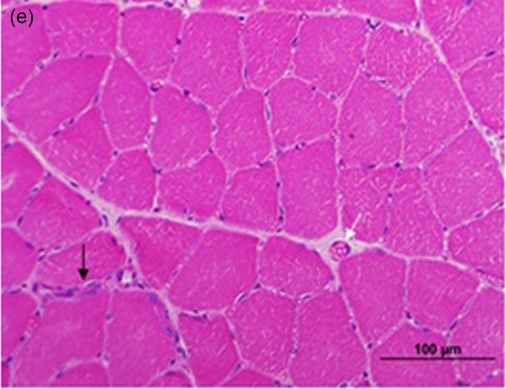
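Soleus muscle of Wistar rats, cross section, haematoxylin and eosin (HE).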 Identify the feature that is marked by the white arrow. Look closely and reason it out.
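The arrow points to a small round lumen in the tissue between fibres. The lumen holds a few round cells. On this evidence: blood vessels.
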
